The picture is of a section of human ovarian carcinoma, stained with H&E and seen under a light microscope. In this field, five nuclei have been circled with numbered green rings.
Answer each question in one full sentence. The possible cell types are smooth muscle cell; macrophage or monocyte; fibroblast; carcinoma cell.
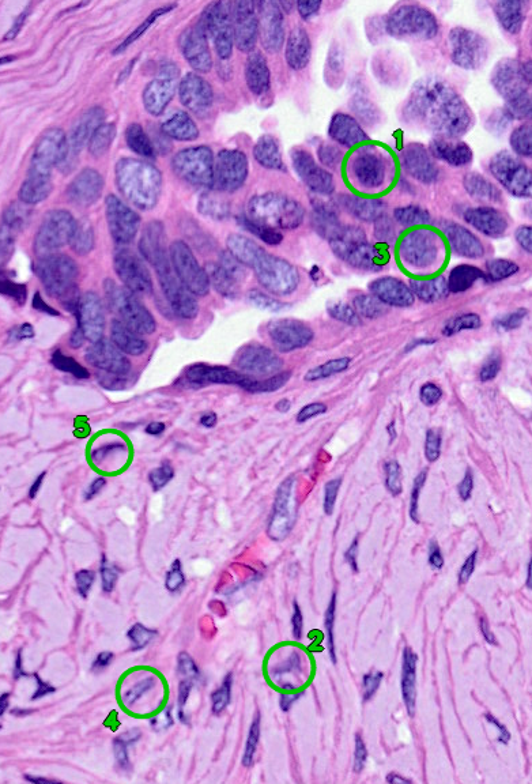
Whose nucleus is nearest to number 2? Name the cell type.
It is a fibroblast whose nucleus is nearest to number 2.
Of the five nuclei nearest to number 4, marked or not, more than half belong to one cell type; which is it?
The majority of the five nuclei closest to number 4 belong to macrophages or monocytes.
